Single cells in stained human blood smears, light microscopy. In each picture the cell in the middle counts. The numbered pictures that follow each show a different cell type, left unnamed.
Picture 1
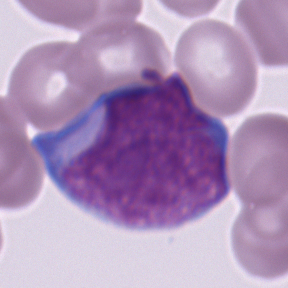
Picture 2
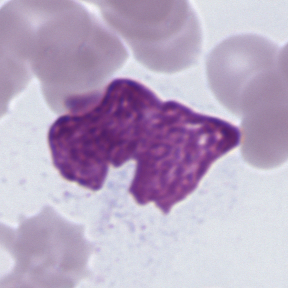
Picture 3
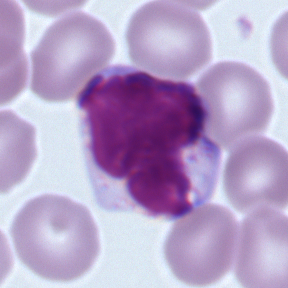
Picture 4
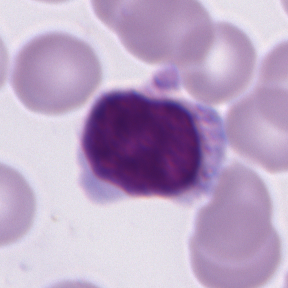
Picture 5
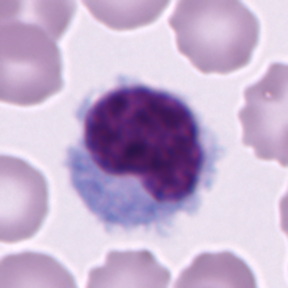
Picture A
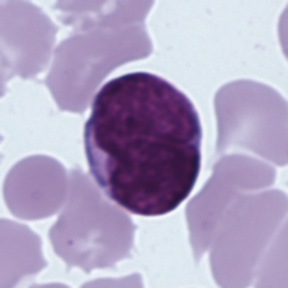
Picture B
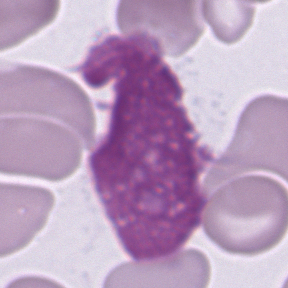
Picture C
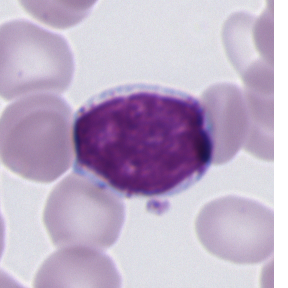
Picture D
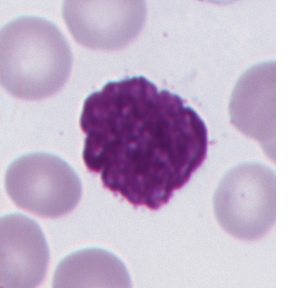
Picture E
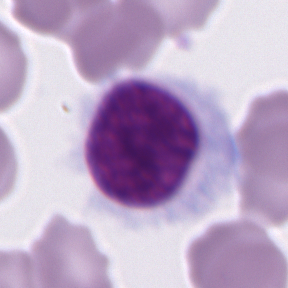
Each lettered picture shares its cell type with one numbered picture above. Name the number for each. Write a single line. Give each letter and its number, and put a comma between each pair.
A 1, B 2, C 3, D 2, E 5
